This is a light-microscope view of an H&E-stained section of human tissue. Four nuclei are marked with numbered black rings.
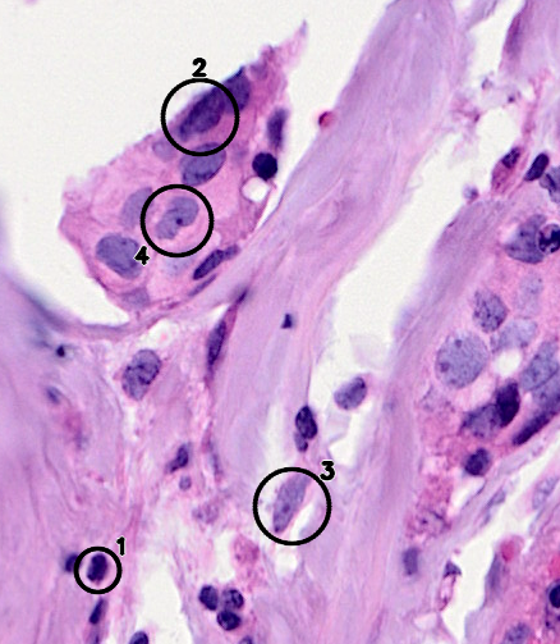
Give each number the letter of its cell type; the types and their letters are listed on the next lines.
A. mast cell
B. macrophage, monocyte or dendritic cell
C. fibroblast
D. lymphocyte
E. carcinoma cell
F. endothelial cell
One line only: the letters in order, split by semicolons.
D; E; C; E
